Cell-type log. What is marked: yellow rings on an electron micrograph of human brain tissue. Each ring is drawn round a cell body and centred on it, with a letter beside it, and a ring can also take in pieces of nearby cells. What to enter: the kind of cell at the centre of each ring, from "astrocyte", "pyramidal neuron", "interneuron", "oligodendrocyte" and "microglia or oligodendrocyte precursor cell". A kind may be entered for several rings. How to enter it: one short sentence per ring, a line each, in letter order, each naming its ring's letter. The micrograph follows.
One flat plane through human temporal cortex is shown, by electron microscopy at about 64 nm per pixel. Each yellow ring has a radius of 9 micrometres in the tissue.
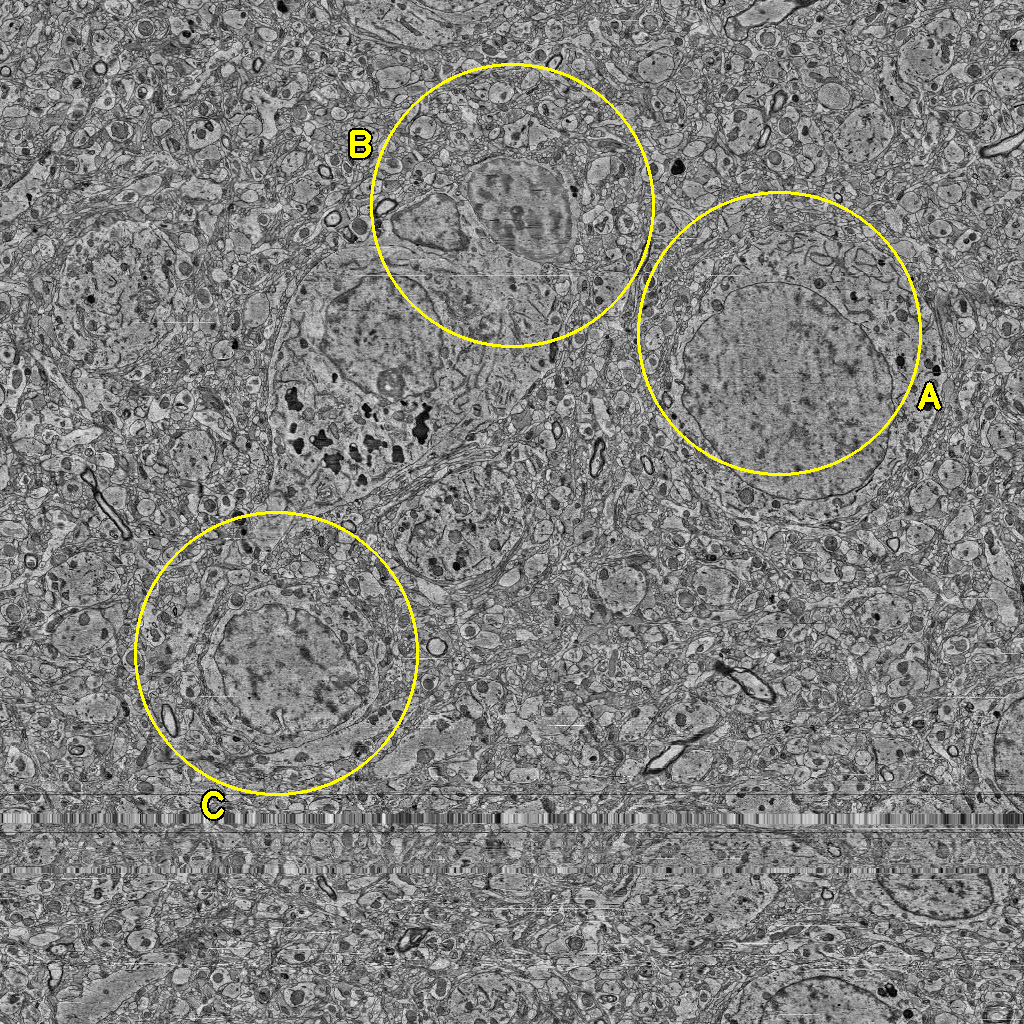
For ring A, the centre cell is a pyramidal neuron.
For ring B, the centre cell is an oligodendrocyte.
For ring C, the centre cell is an interneuron.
